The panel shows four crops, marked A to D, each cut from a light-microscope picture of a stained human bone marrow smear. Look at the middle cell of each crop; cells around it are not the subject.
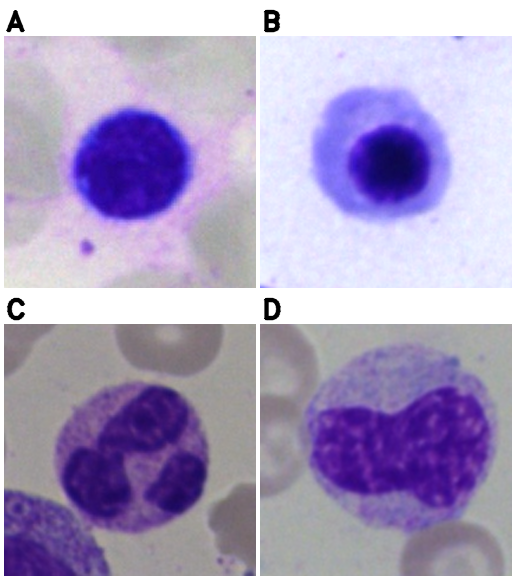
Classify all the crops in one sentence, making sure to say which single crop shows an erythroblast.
In the crop designated B, the cell is an erythroblast, while crop A is a lymphocyte, crop C is a segmented neutrophil and crop D is a band neutrophil.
